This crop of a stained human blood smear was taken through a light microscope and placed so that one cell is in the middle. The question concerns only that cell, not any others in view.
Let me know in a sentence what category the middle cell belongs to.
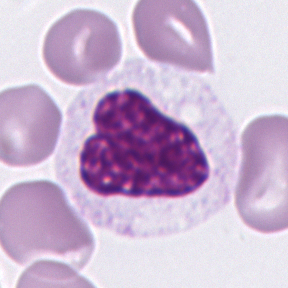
Here the centrally located cell is a band neutrophil.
